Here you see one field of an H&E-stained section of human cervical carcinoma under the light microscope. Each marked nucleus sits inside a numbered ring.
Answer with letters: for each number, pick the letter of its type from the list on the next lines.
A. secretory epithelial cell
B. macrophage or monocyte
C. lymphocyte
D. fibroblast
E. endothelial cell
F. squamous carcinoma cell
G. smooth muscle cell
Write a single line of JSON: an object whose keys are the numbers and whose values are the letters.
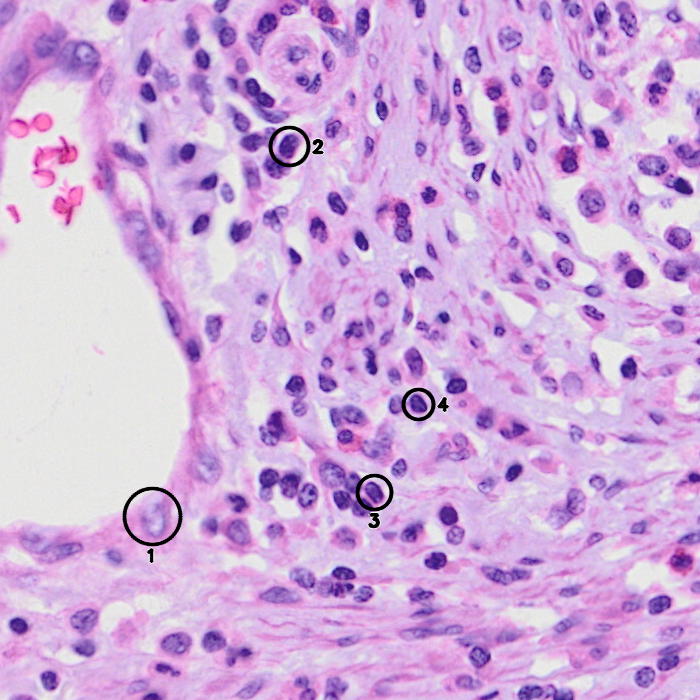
{"1": "E", "2": "C", "3": "C", "4": "C"}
